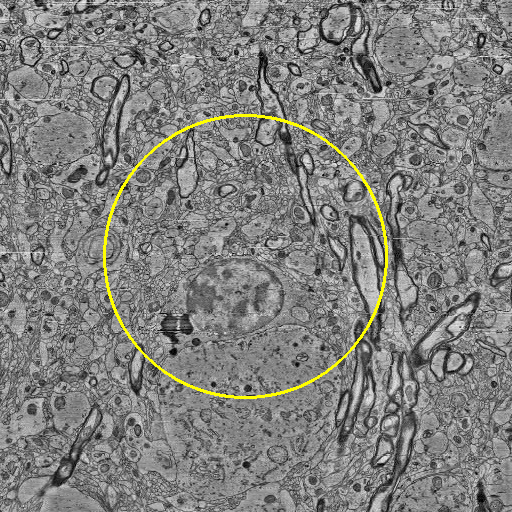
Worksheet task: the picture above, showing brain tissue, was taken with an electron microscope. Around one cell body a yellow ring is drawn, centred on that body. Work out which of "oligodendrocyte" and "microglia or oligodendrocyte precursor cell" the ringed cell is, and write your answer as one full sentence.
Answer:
It is an oligodendrocyte whose cell body lies at the centre of the yellow ring.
